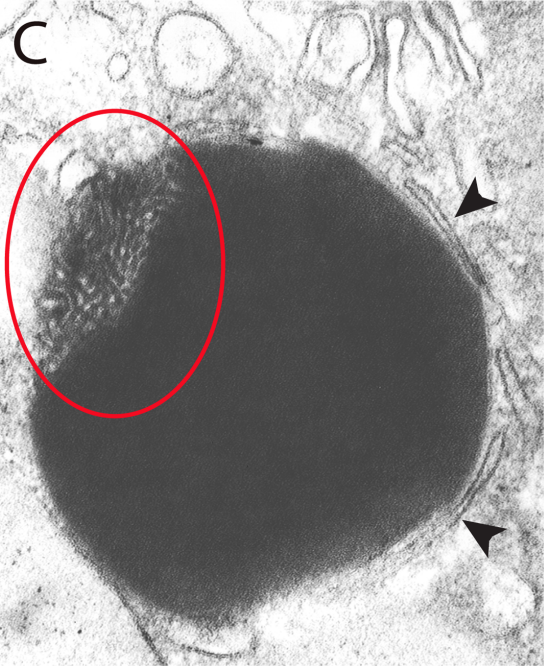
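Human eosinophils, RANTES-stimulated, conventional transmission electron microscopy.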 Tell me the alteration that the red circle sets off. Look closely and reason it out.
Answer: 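Heterogeneous areas. Inside the red circle the dark body is less uniform, with pale curved streaks and a mottled texture. The rest of the body is evenly dense.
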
